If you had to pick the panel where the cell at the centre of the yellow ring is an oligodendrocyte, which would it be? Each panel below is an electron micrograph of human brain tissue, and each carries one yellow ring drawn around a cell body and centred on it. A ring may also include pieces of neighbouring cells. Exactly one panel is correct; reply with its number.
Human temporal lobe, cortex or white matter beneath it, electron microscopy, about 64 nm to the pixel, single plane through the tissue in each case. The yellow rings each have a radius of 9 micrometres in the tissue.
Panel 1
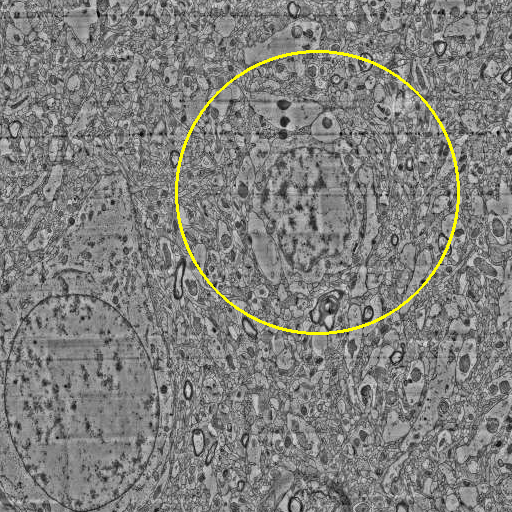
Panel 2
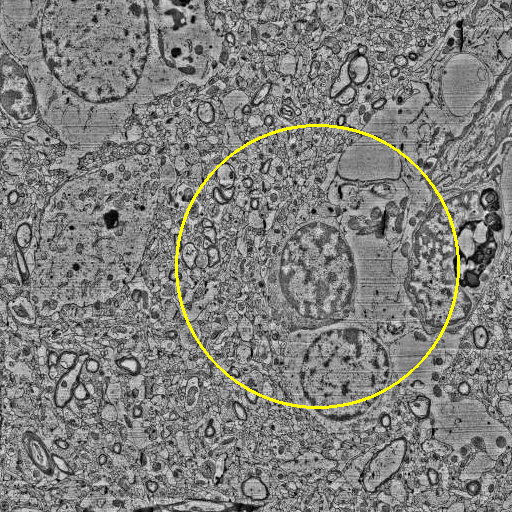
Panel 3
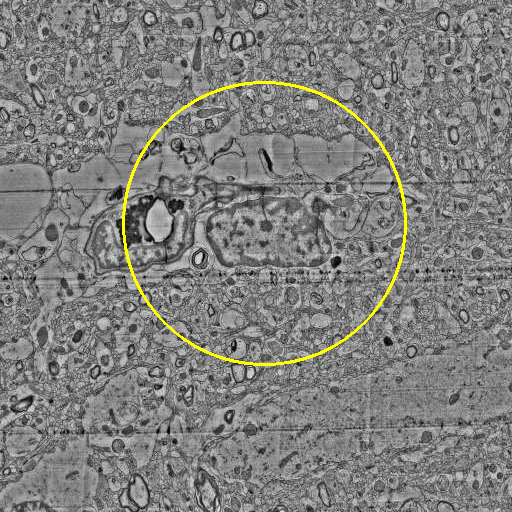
2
